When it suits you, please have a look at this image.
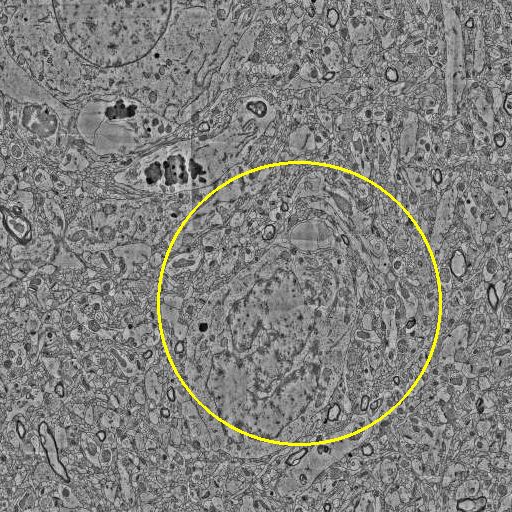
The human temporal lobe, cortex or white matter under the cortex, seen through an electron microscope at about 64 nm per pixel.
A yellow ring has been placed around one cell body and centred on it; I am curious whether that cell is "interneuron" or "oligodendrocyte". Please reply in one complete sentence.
The ringed cell, an interneuron, has its body at the centre of the yellow ring.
